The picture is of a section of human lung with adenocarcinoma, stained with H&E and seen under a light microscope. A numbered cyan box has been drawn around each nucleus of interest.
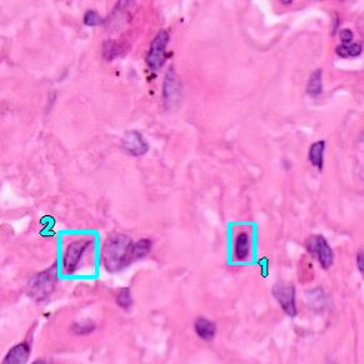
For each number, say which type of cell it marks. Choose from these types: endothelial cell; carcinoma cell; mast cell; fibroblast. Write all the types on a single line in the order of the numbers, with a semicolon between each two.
mast cell; fibroblast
